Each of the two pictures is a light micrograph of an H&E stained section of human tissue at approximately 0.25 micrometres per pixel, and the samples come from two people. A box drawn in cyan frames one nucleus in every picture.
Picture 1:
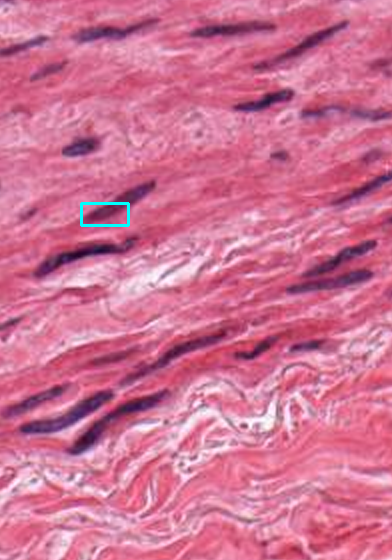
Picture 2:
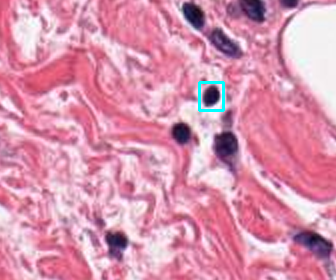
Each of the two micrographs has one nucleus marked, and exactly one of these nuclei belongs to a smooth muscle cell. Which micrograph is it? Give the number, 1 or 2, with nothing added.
1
